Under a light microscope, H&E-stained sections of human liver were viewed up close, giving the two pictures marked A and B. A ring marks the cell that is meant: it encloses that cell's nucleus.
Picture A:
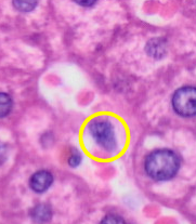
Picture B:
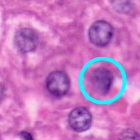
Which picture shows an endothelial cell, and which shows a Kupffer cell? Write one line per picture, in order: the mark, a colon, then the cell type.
A: Kupffer cell
B: endothelial cell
